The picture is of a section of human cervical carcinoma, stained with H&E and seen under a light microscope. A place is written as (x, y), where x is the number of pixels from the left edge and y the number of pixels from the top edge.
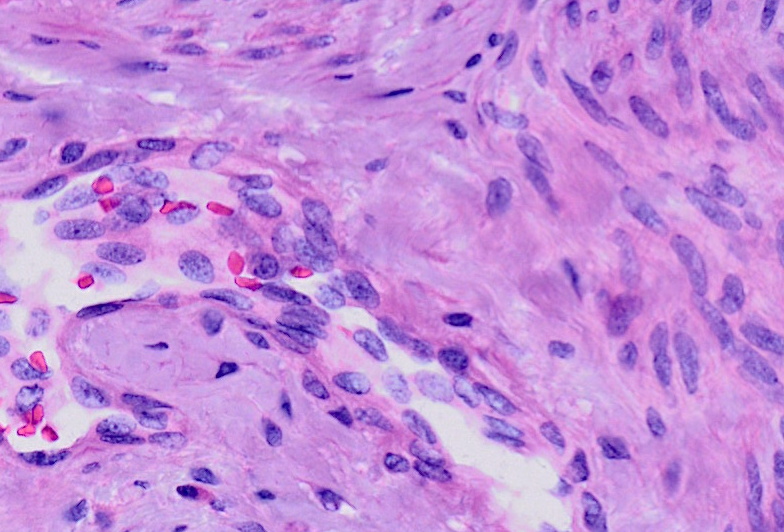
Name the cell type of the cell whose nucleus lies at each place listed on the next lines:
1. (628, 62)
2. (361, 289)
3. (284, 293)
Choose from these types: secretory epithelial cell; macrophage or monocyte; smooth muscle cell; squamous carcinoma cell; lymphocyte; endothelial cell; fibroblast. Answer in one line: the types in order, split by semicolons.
smooth muscle cell; endothelial cell; endothelial cell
